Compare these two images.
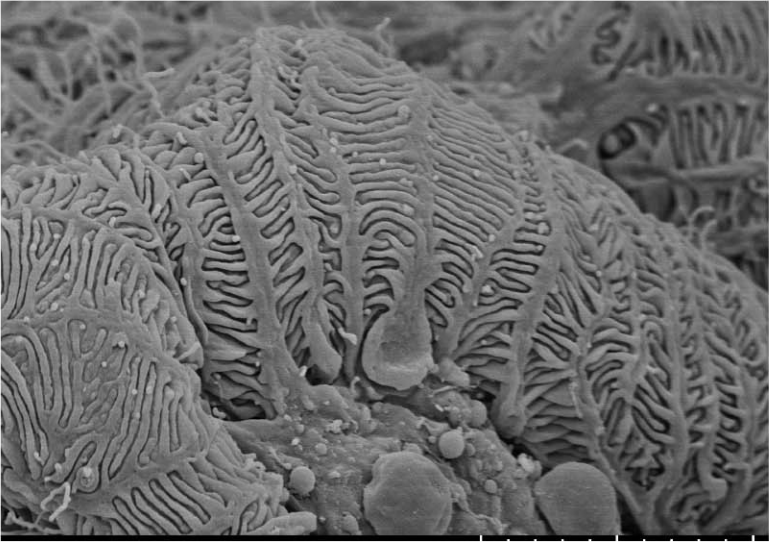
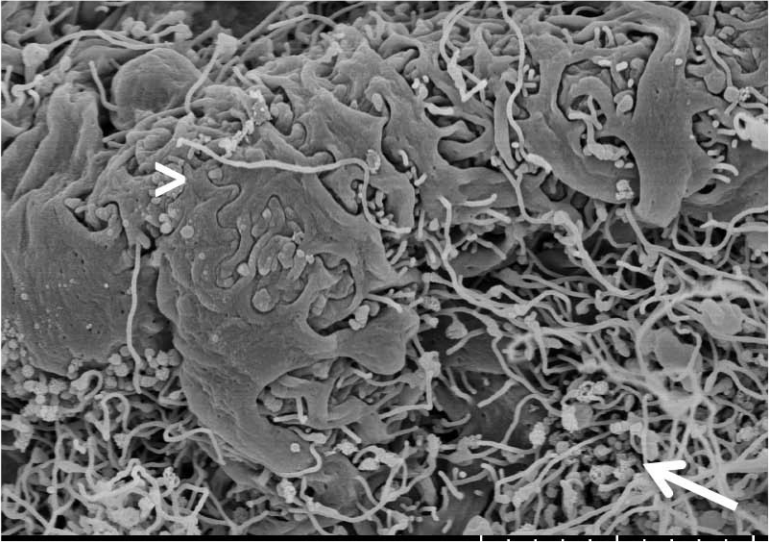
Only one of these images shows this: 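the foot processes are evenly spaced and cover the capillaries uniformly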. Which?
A: The first image.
